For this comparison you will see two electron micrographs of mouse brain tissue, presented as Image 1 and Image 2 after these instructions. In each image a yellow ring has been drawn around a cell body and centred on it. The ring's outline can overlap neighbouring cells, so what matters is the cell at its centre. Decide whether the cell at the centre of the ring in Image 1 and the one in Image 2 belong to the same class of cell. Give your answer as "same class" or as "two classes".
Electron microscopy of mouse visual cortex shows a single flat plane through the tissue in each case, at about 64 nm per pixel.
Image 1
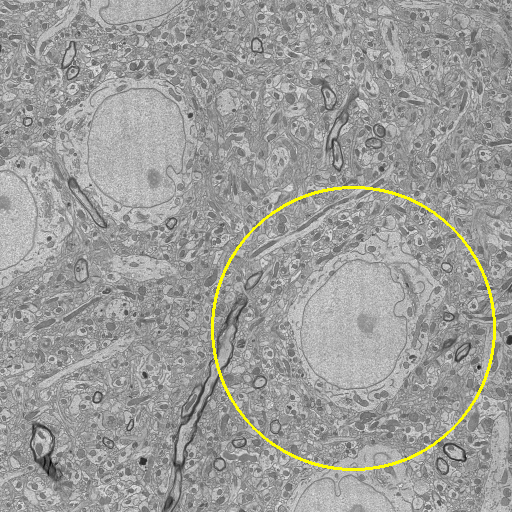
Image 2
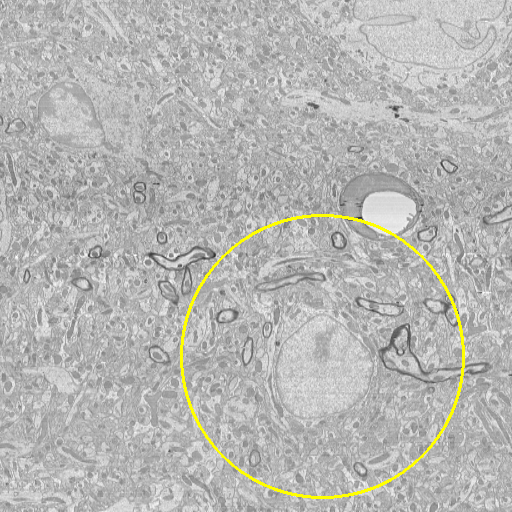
two classes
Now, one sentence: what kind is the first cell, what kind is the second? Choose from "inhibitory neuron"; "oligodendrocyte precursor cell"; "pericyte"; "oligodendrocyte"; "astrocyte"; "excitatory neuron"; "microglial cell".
The first picture has an excitatory neuron at its ring centre, and the second has an astrocyte.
